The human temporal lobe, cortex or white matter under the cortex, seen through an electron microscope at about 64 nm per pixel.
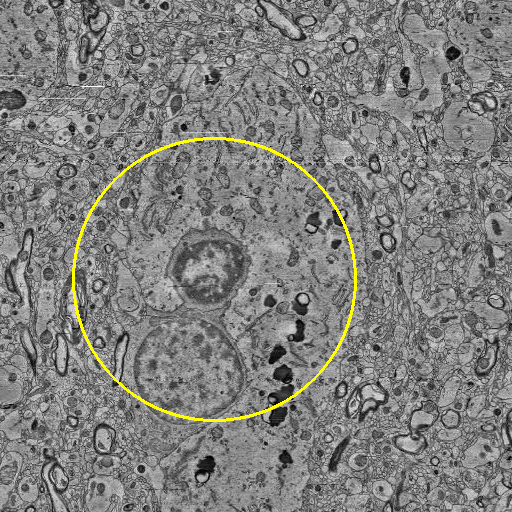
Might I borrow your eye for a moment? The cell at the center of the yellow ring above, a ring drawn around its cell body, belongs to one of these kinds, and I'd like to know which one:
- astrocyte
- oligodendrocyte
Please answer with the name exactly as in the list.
oligodendrocyte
